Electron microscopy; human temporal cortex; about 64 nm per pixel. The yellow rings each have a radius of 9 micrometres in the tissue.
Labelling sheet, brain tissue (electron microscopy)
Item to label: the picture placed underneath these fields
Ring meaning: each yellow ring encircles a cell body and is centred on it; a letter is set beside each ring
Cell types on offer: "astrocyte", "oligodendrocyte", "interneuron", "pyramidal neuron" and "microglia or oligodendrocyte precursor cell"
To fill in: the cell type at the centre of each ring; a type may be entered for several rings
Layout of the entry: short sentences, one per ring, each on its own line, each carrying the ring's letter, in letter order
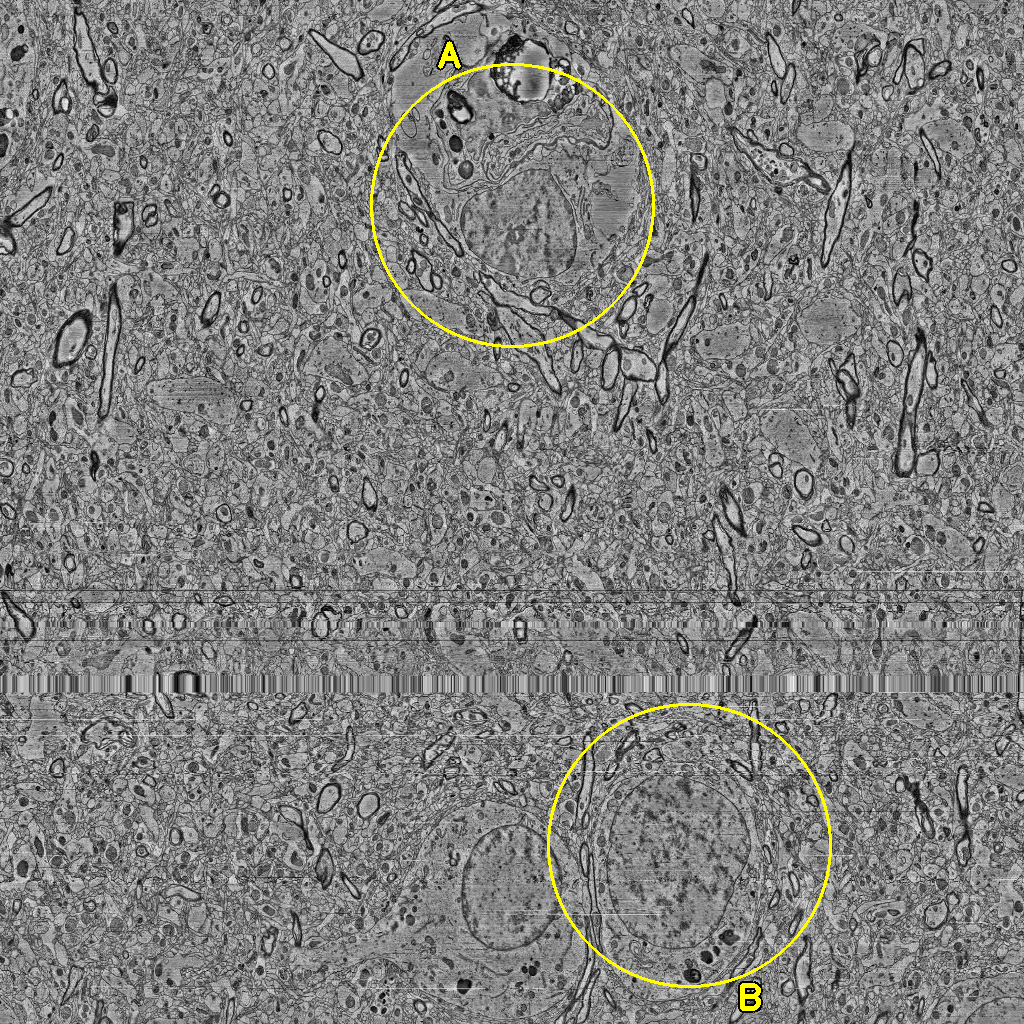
Ring A encircles the body of a microglial cell or oligodendrocyte precursor cell.
Ring B encircles the body of a pyramidal neuron.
